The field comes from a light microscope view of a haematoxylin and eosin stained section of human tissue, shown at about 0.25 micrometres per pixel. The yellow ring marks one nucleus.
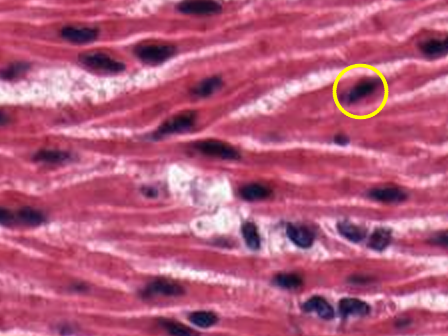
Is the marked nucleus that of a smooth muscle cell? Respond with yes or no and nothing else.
yes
